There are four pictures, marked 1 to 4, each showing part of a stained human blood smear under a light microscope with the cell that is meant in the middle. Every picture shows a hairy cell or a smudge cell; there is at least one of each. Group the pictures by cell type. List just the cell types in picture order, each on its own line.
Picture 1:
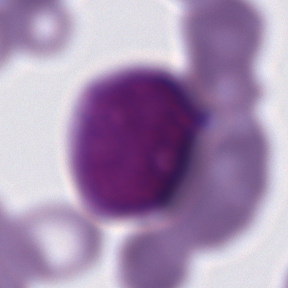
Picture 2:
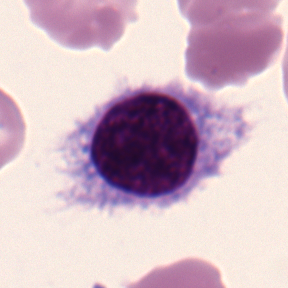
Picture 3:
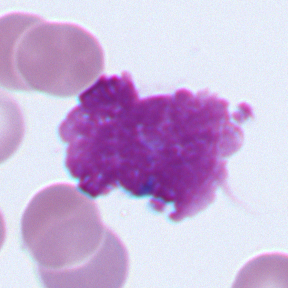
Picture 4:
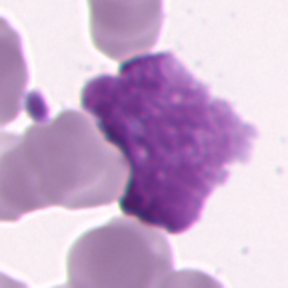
smudge cell
hairy cell
smudge cell
smudge cell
